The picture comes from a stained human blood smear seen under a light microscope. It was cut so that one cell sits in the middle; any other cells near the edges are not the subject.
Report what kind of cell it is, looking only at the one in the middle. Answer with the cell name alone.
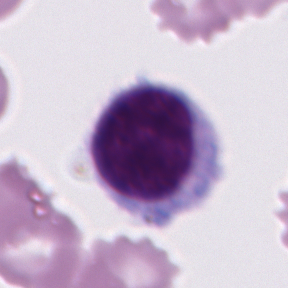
hairy cell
